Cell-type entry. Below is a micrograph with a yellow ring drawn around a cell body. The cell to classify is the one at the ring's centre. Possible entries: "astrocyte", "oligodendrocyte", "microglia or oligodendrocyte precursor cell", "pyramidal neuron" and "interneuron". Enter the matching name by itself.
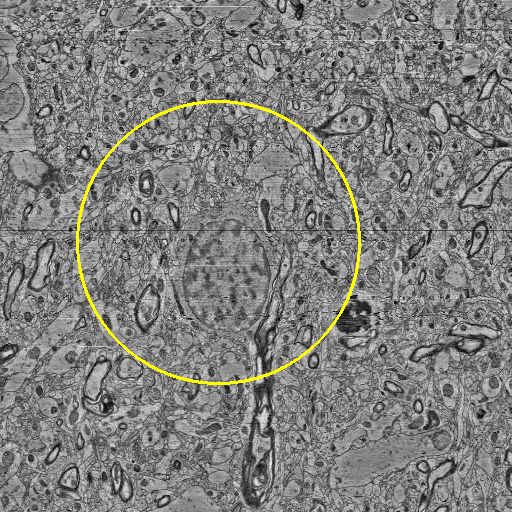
oligodendrocyte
